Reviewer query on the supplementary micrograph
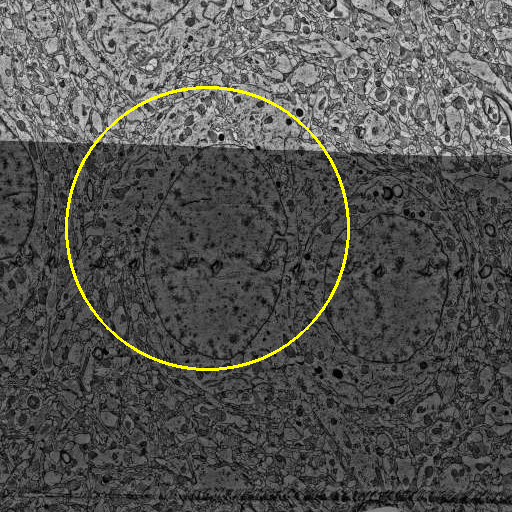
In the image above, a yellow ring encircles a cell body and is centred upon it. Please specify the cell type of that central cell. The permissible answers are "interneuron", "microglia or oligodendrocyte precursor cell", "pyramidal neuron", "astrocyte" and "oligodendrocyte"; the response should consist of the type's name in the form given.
pyramidal neuron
